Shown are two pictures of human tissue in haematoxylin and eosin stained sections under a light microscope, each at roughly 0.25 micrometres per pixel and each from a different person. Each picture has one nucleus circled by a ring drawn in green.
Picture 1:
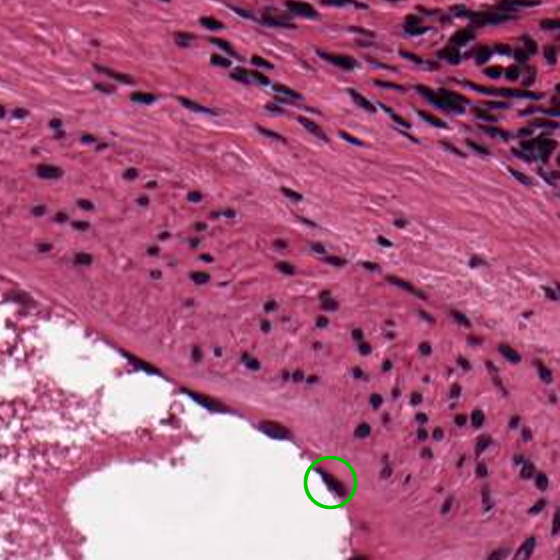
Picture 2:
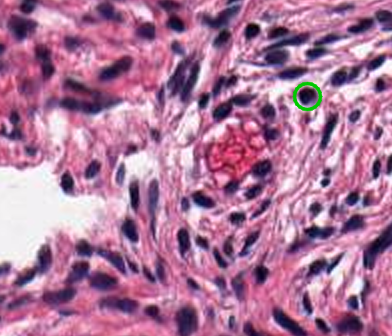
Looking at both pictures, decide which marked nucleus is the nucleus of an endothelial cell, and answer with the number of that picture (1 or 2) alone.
1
